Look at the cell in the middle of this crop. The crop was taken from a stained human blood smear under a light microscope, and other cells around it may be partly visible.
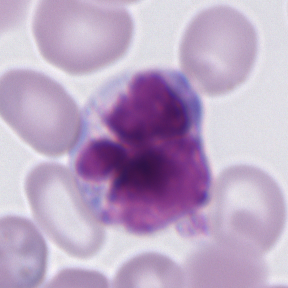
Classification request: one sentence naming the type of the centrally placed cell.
The middle position in this crop is taken by a large granular lymphocyte.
